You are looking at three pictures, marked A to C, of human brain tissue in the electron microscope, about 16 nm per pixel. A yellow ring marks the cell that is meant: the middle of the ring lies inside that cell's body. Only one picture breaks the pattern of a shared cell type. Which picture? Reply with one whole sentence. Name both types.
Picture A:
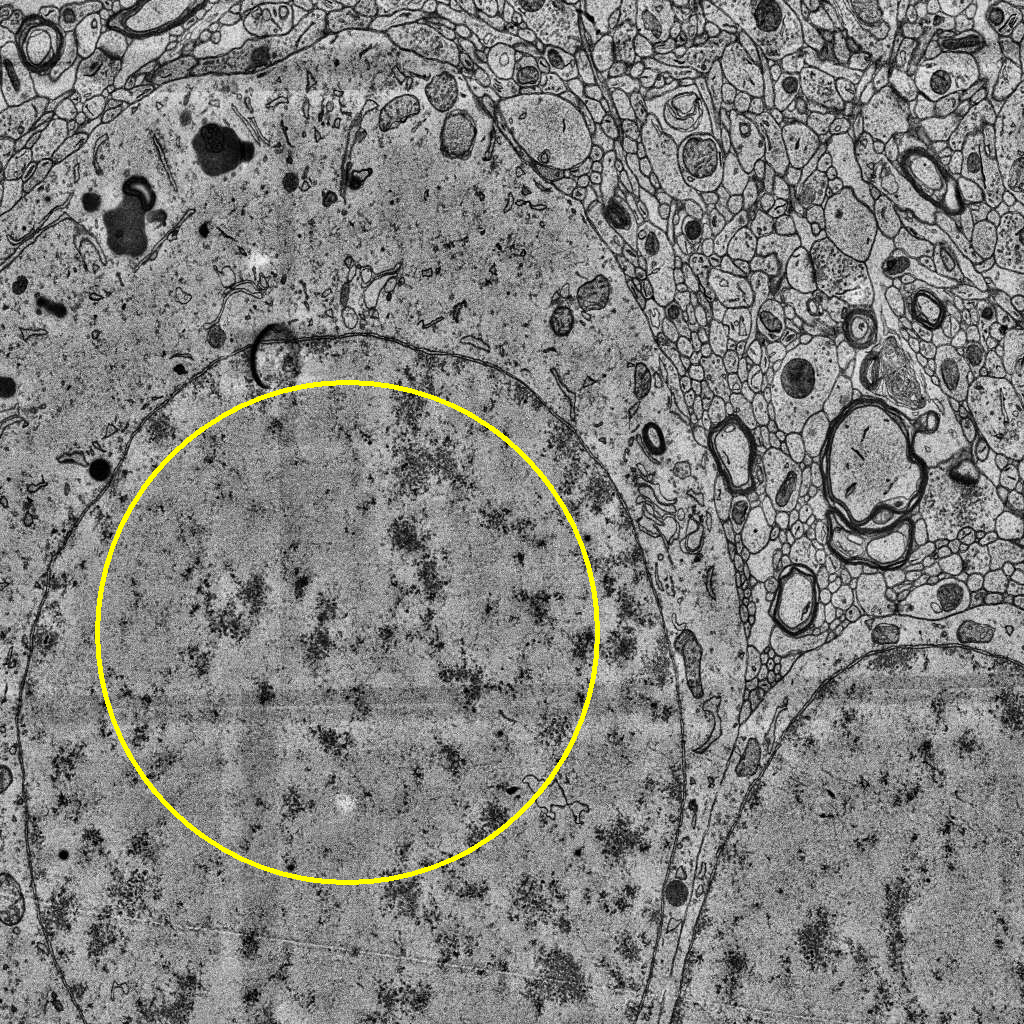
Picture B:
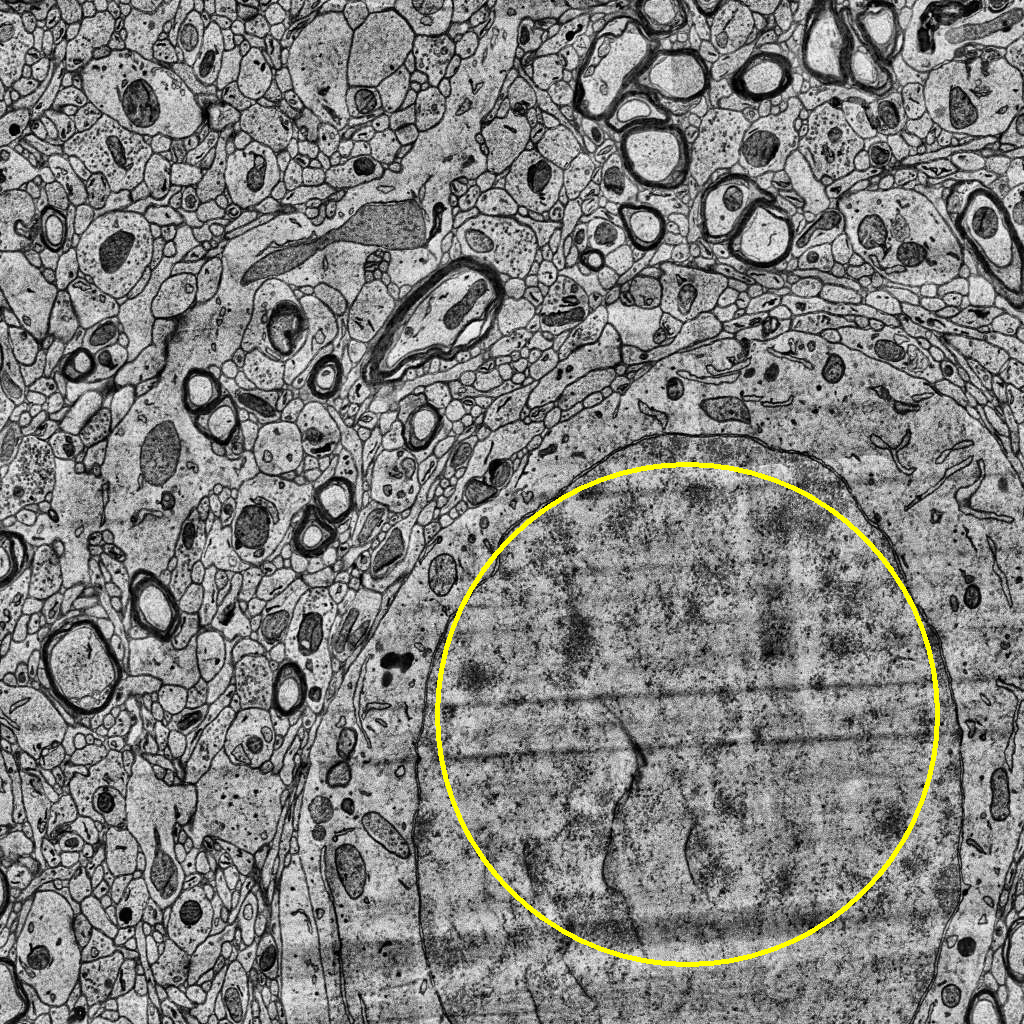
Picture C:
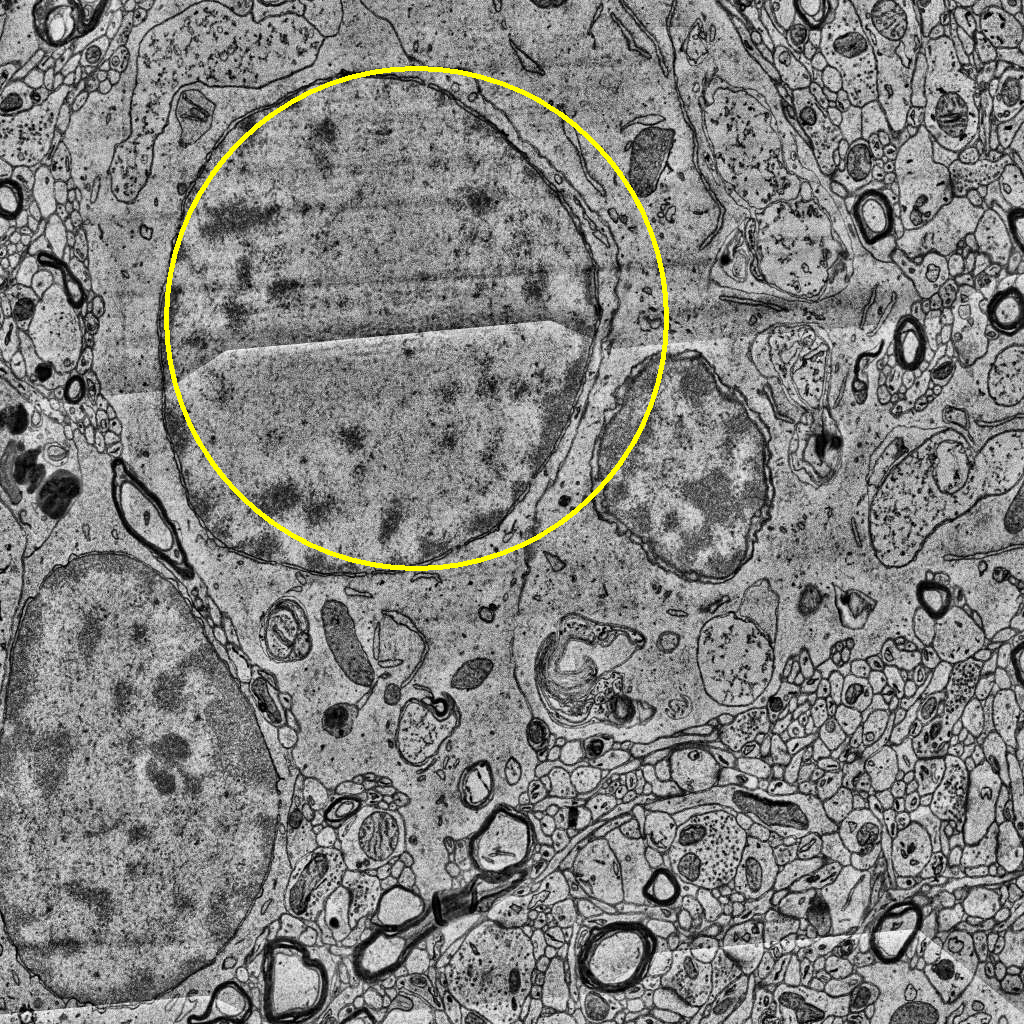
Picture C differs, because its cell is an astrocyte and the rest are pyramidal neurons.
